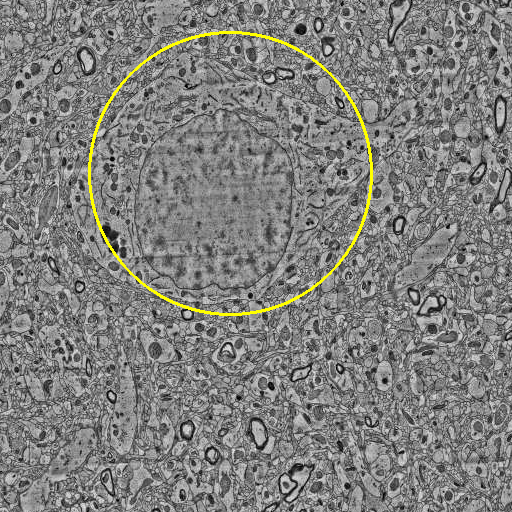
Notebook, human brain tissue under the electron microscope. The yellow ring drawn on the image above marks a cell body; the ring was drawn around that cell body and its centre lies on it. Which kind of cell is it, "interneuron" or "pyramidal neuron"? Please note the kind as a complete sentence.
The marked cell body is that of an interneuron.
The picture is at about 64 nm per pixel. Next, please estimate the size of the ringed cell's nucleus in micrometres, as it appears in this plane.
The nucleus measures about 11 micrometers across in this plane.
